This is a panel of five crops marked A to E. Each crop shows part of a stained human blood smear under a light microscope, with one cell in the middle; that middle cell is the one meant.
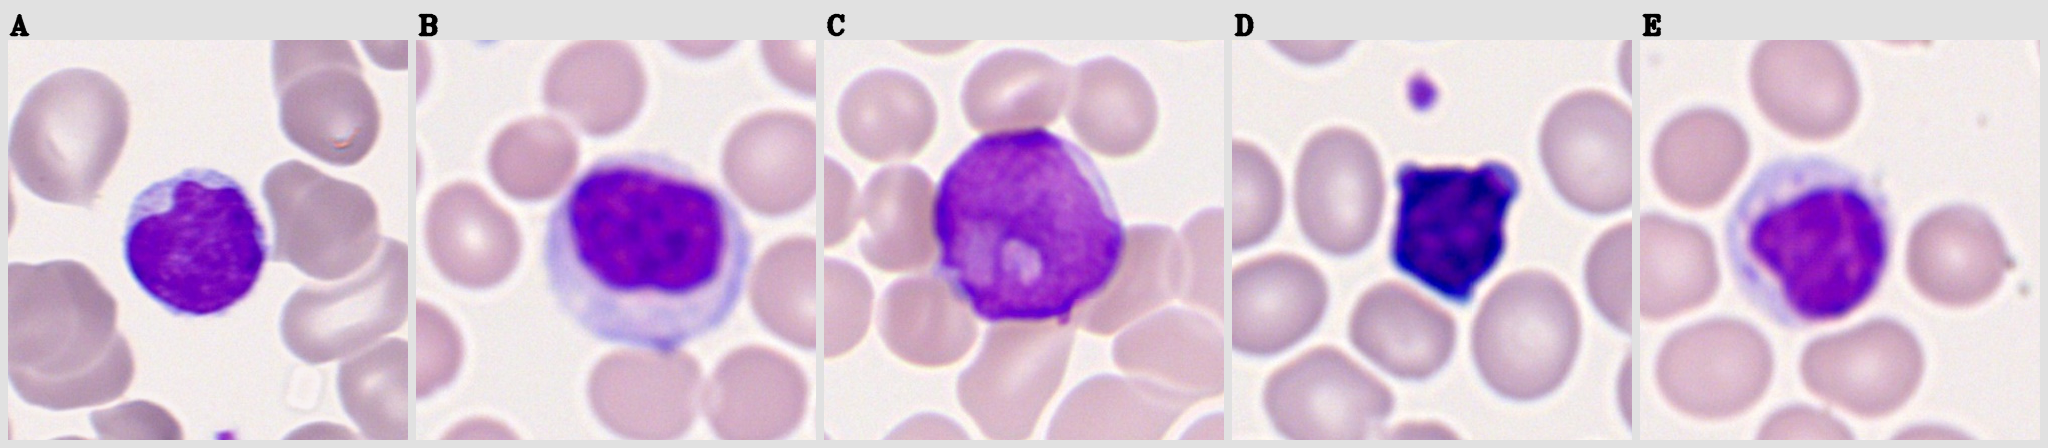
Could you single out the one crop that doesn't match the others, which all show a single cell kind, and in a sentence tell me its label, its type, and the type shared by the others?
Crop C is the different one, a blast, while the rest are lymphocytes.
